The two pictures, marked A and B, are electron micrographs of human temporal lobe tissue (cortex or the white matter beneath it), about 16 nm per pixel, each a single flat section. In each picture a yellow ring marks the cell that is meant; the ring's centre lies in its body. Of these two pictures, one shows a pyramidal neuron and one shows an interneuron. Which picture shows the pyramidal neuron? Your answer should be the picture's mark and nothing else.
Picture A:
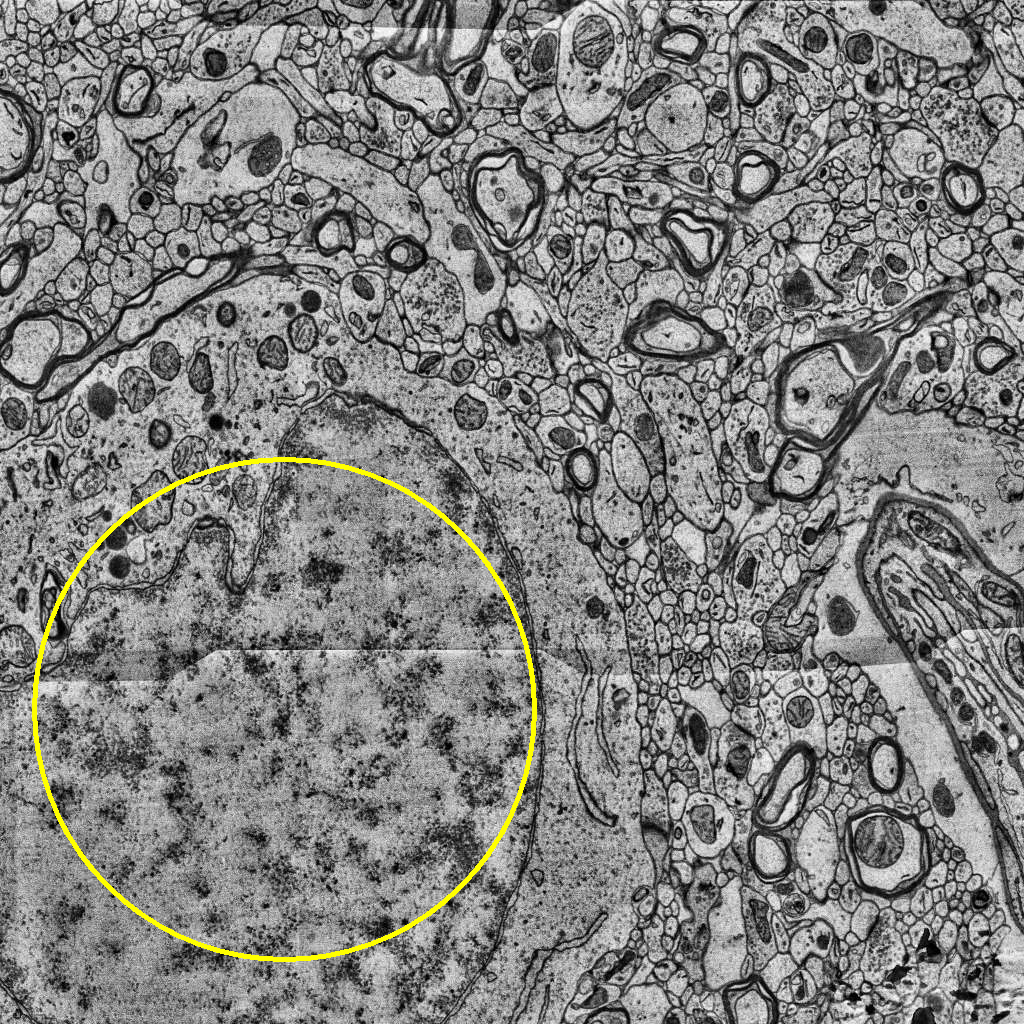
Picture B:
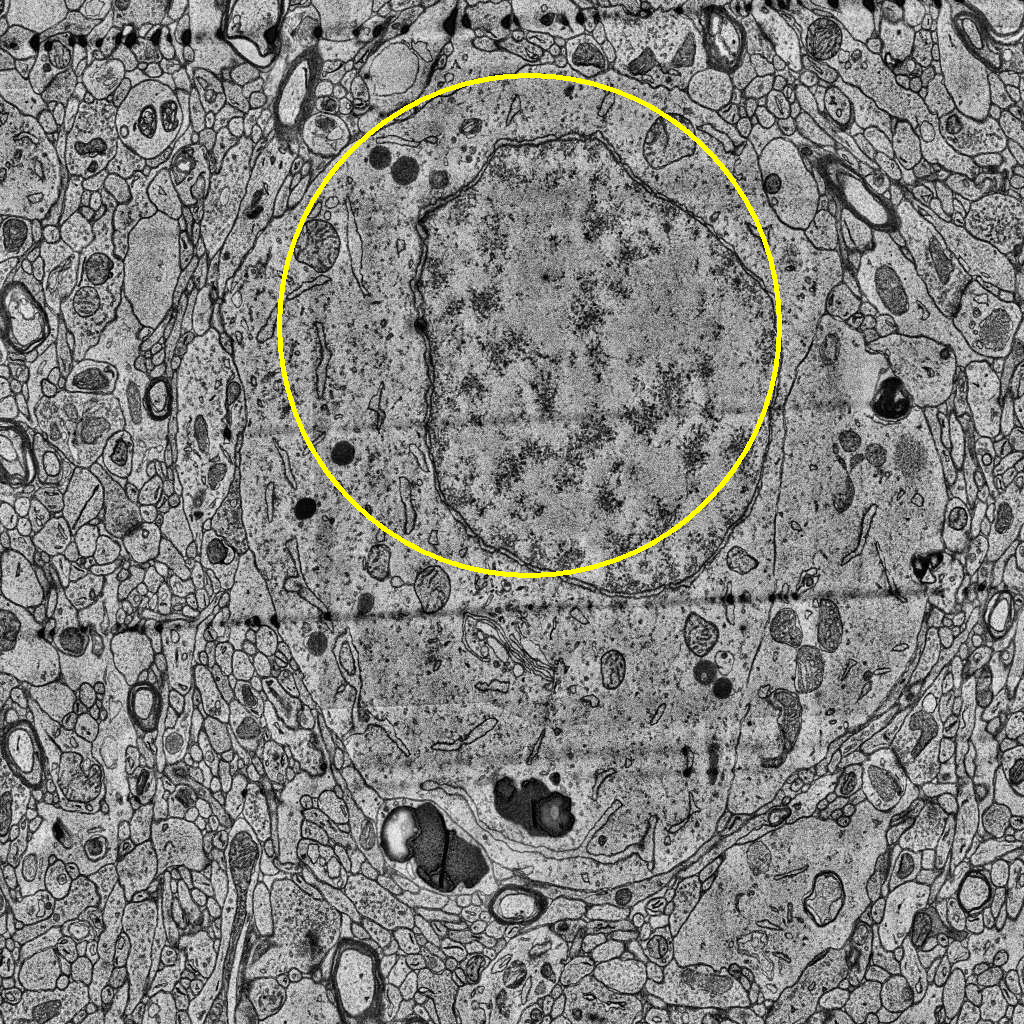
B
